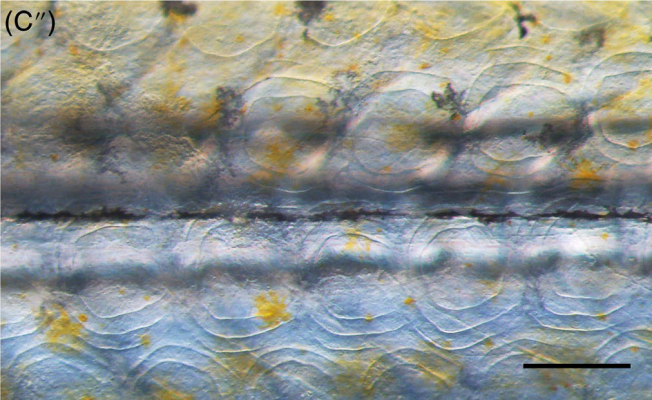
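The scales are thin, transparent, rounded plates whose curved edges overlap like roof tiles and repeat in regular rows along the body. A dark horizontal line runs across the middle of the field, with a band of dark pigment above it. Small dark, branched pigment spots and yellow-orange pigment spots are scattered over and between the scales. Below the dark line the tissue has a pale bluish tint, and the scale outlines remain clearly visible there.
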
